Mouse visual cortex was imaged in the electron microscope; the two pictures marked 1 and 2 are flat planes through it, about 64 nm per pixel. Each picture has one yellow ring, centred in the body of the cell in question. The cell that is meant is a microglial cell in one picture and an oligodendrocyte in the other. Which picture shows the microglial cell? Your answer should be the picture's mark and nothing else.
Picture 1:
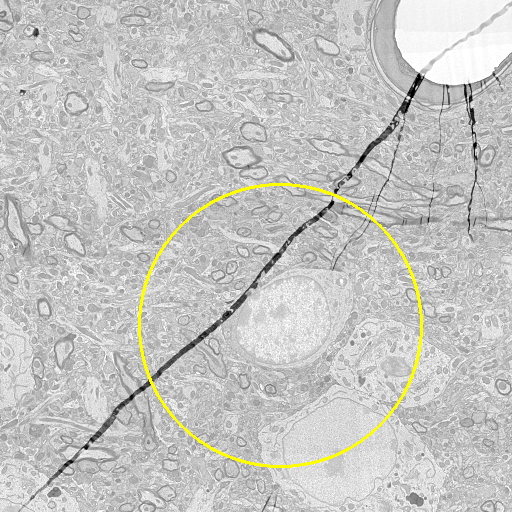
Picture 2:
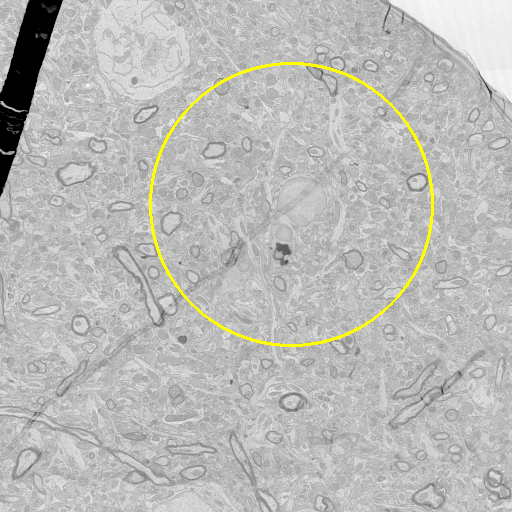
2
